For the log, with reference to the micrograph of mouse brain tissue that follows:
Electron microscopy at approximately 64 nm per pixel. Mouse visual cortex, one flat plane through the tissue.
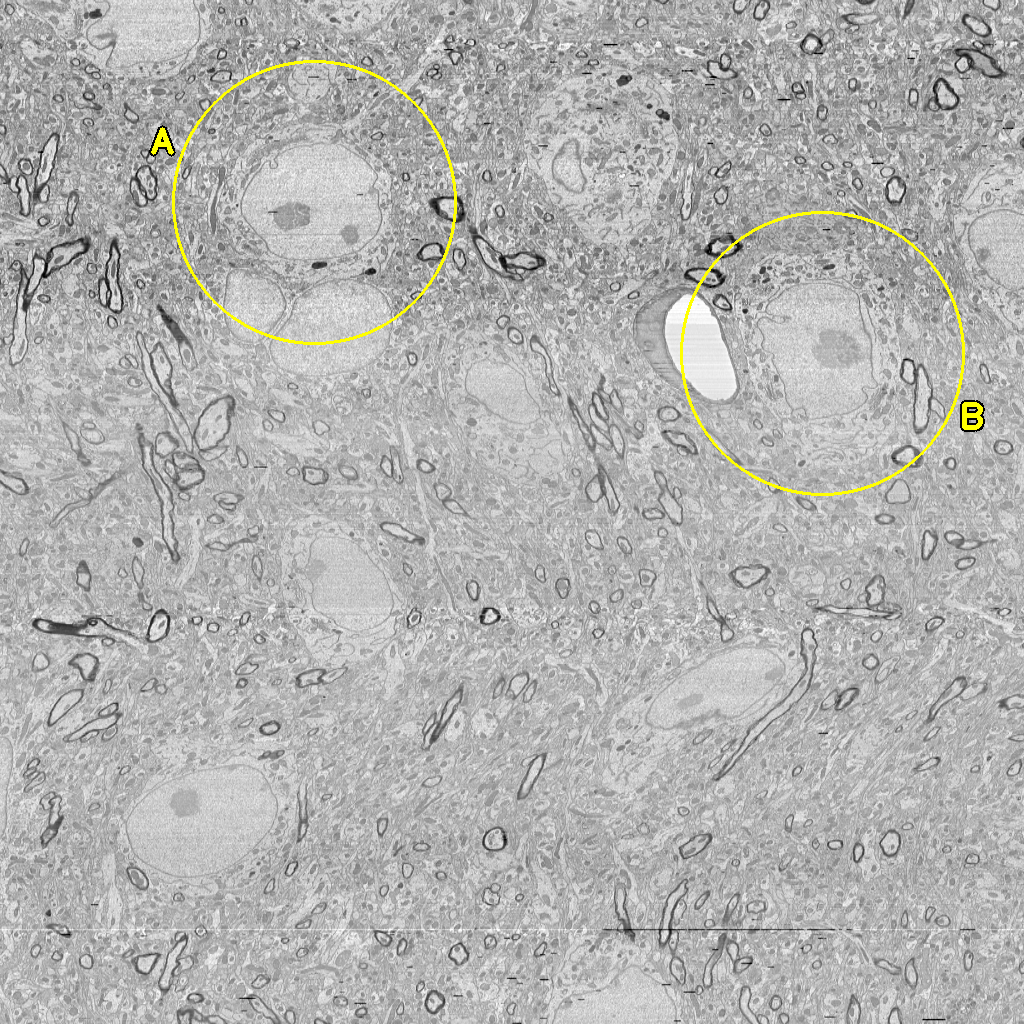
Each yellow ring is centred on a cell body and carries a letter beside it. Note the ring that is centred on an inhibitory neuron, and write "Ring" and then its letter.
Ring B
